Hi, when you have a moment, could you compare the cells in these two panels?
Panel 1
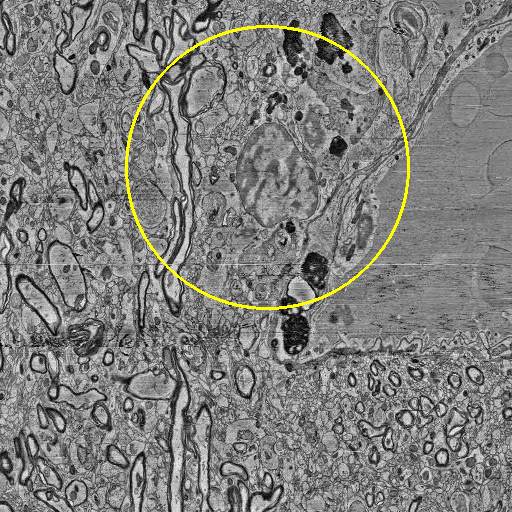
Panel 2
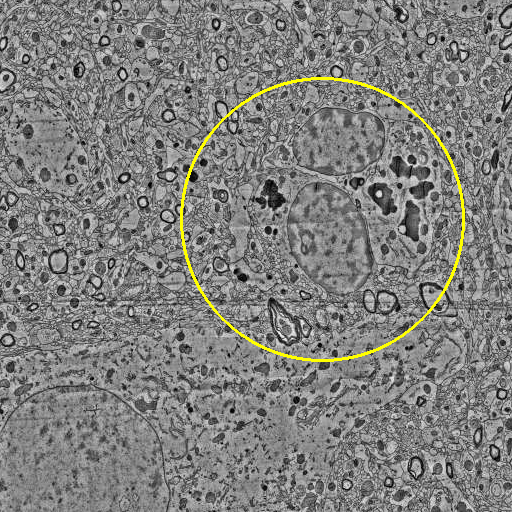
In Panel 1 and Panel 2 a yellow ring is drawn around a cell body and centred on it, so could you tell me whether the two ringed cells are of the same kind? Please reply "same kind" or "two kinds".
two kinds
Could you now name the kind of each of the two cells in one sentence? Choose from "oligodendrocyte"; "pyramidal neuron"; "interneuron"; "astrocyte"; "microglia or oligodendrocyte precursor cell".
The first ring encloses a microglial cell or oligodendrocyte precursor cell; the second ring encloses an oligodendrocyte.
